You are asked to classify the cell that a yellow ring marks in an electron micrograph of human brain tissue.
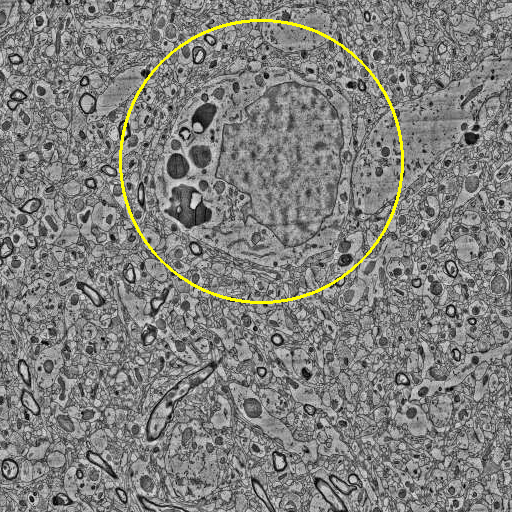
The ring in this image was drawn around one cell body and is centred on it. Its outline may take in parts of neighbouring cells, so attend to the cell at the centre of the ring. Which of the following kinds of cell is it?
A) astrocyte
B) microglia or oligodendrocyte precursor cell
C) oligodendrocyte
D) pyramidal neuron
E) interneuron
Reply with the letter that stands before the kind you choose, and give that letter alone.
E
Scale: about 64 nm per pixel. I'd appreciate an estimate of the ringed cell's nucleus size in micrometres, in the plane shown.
In this plane, the nucleus is roughly 9 by 8 micrometres.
